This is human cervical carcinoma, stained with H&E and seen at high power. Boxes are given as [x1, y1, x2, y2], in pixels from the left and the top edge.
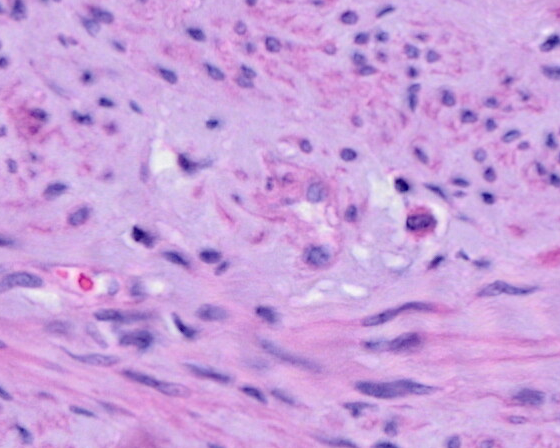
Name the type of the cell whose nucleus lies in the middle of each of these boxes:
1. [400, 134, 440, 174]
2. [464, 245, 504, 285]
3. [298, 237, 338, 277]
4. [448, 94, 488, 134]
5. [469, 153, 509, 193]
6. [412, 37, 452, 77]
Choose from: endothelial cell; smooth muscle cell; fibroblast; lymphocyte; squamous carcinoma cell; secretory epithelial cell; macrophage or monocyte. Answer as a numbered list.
1. smooth muscle cell
2. fibroblast
3. endothelial cell
4. smooth muscle cell
5. smooth muscle cell
6. smooth muscle cell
